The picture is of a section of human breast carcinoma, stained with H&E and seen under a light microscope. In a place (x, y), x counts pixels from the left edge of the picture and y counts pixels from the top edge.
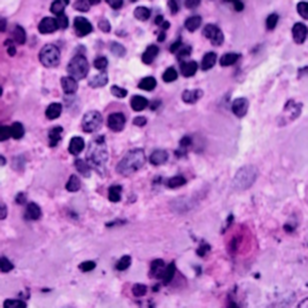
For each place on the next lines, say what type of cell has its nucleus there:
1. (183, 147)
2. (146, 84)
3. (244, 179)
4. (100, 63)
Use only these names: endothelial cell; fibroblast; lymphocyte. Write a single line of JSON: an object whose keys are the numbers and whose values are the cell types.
{"1": "lymphocyte", "2": "lymphocyte", "3": "fibroblast", "4": "lymphocyte"}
